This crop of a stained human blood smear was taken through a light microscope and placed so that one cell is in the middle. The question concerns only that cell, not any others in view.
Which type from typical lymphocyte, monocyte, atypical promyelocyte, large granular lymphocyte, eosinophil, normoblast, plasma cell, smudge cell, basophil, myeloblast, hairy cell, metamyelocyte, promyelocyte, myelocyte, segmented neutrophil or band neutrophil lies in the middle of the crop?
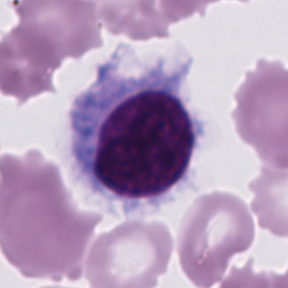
hairy cell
